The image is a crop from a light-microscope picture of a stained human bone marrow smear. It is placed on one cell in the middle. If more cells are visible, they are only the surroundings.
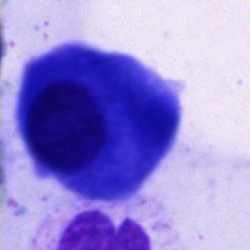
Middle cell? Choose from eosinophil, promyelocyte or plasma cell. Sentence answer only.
What the crop centres on is a plasma cell.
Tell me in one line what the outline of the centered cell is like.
The perimeter of the cell is irregular, with ragged sections or outward projections.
